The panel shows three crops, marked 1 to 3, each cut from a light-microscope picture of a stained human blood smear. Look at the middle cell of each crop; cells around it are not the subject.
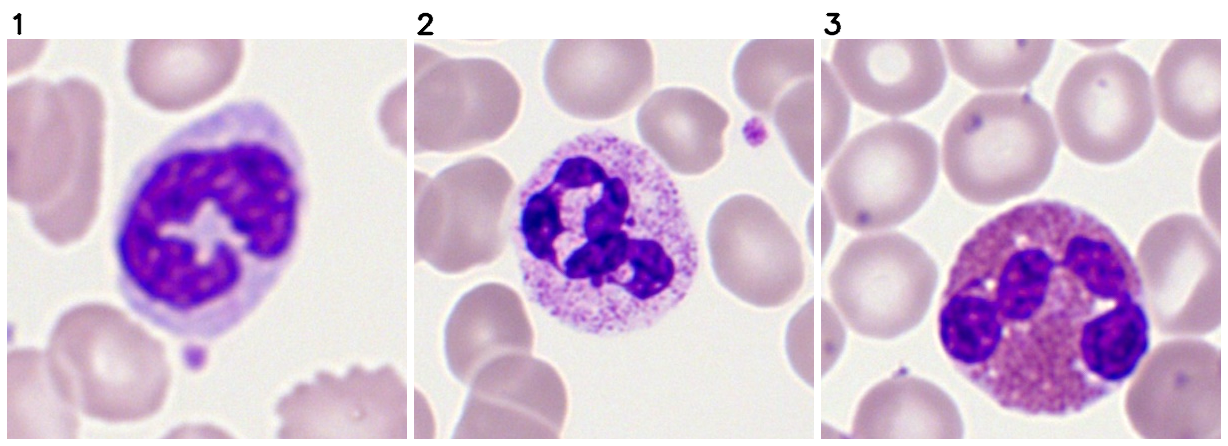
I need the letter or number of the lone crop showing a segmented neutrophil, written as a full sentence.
Crop 2 is where a segmented neutrophil is shown.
